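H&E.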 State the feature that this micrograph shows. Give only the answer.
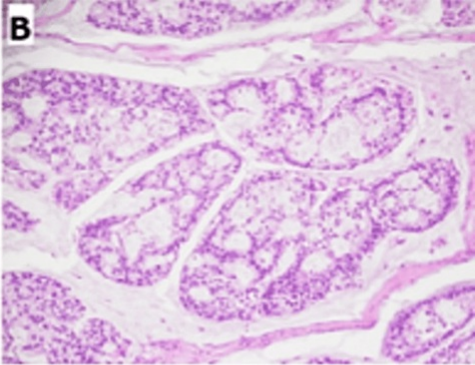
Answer: cribriform pattern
